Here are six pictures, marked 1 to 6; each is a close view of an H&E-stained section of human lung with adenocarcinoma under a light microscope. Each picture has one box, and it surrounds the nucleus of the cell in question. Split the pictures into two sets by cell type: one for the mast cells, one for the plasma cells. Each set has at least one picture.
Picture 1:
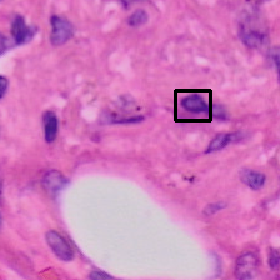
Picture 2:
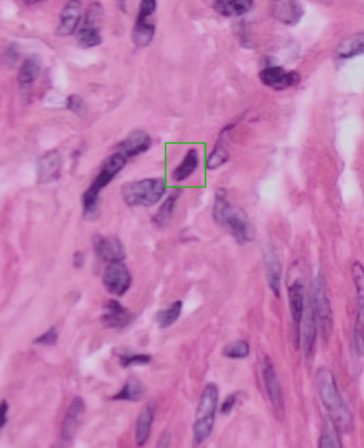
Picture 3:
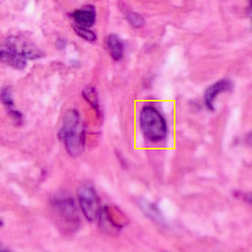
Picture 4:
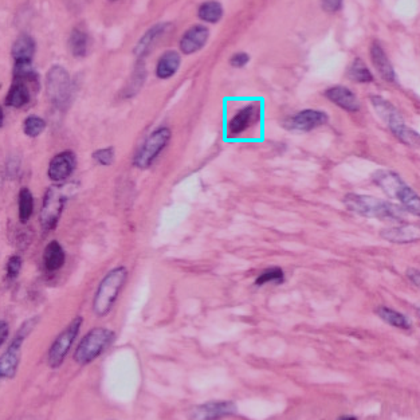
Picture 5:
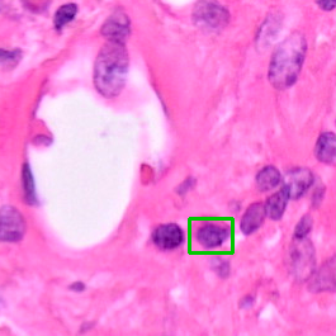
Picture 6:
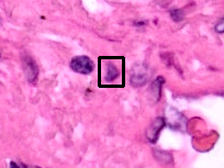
1: plasma cell
2: mast cell
3: plasma cell
4: plasma cell
5: plasma cell
6: mast cell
